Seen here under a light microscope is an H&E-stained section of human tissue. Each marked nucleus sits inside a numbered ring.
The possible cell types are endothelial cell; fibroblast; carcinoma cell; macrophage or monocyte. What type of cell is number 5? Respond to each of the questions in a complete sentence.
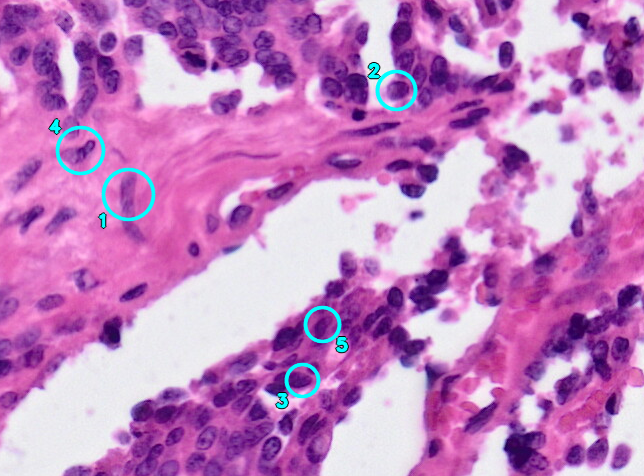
The cell referenced by the number 5 is a carcinoma cell in this field.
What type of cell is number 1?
Cell 1 should be recorded as a fibroblast.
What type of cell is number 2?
The cell identified by the number 2 is a carcinoma cell.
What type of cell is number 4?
The correct answer for cell 4 is a fibroblast.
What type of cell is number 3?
As for number 3, that cell is a carcinoma cell.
